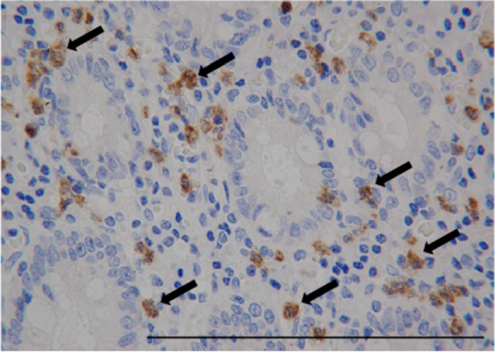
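Glands cut in cross-section are separated by stroma crowded with small blue nuclei. Scattered through this stroma are individual brown-stained cells, some lying singly and some in small clusters. The brown stain coats the cells around their nuclei, so the nuclear outline is partly obscured. The gland epithelium itself is pale and unstained.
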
